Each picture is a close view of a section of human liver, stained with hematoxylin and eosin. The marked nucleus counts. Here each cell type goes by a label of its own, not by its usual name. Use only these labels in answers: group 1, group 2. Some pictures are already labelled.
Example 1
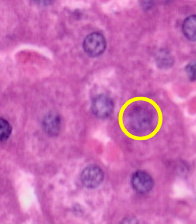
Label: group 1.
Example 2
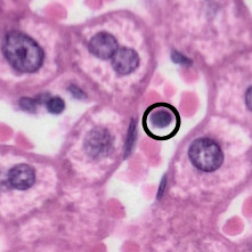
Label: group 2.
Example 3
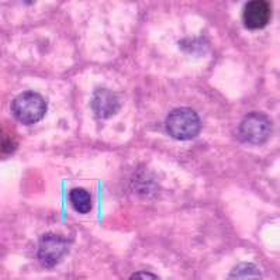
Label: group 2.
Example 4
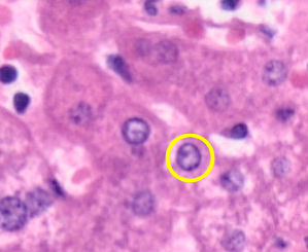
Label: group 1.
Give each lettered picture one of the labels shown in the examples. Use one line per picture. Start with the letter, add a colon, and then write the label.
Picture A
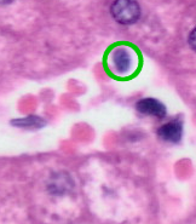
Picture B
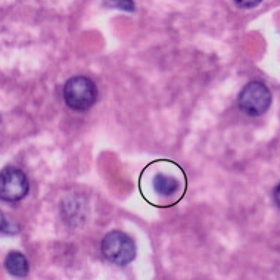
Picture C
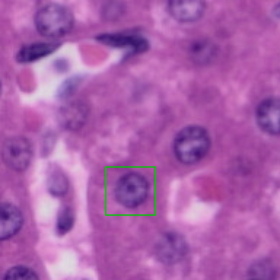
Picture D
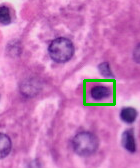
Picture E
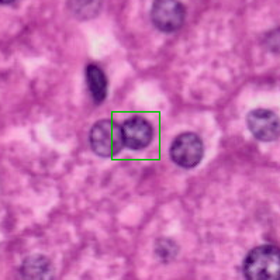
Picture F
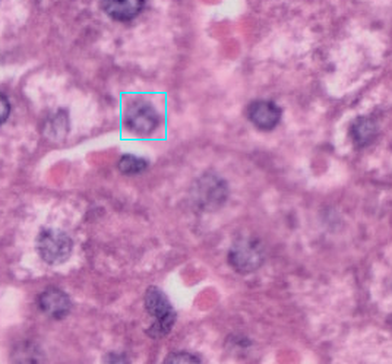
A: group 2.
B: group 2.
C: group 1.
D: group 2.
E: group 1.
F: group 1.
